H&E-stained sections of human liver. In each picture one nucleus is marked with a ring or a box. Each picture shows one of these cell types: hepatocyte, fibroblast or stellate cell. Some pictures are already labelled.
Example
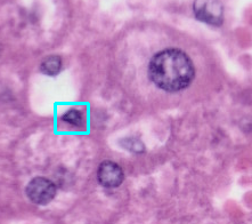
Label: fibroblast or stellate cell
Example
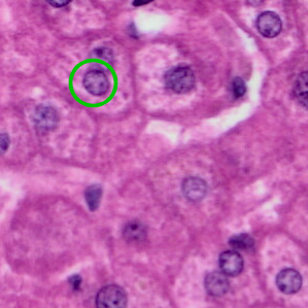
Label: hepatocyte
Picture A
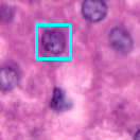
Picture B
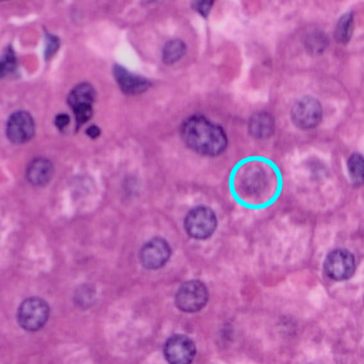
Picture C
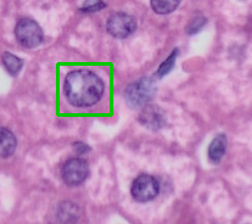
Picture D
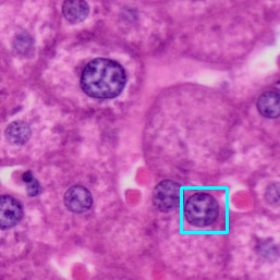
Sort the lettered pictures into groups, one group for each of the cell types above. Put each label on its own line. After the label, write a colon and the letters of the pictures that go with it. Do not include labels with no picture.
hepatocyte: A, B, C, D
